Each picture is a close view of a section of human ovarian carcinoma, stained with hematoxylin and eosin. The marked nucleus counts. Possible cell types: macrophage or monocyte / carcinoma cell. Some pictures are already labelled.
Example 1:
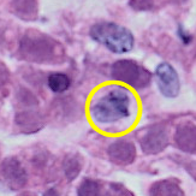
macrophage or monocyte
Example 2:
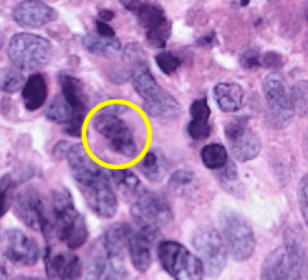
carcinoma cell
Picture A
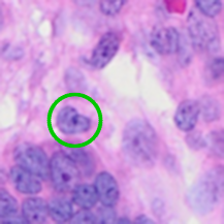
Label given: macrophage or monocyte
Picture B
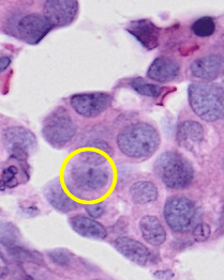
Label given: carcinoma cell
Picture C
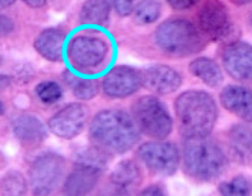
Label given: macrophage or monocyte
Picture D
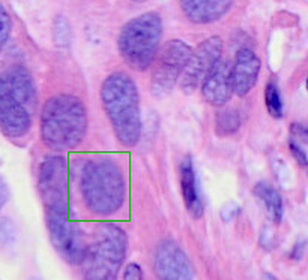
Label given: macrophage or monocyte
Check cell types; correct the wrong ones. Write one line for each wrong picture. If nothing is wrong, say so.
C: not macrophage or monocyte but carcinoma cell
D: not macrophage or monocyte but carcinoma cell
